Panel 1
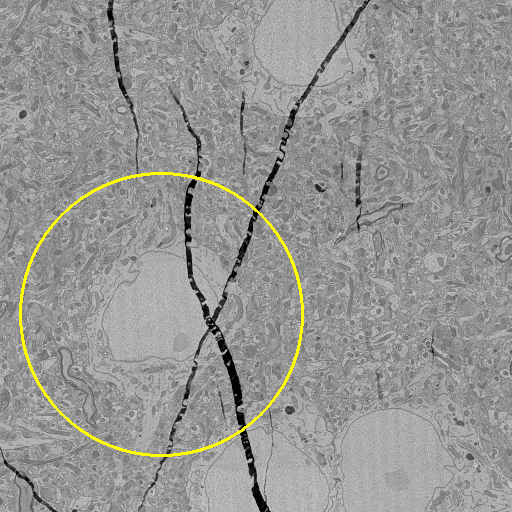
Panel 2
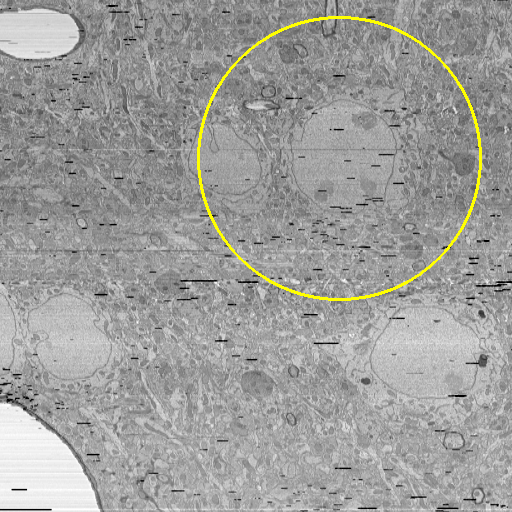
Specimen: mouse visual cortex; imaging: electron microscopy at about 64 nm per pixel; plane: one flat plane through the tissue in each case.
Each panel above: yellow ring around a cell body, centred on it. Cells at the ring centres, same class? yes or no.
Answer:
yes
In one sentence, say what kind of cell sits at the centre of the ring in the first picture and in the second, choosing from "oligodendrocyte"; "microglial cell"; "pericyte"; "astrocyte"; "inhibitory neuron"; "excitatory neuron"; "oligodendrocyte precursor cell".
Each cell, in the first picture and the second, is an excitatory neuron.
